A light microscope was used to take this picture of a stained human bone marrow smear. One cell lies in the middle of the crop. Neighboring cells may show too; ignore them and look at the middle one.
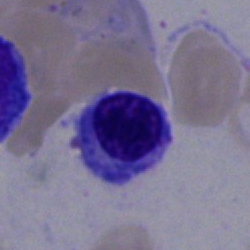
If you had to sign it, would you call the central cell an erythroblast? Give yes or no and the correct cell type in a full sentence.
Yes, the cell in the central position is an erythroblast.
